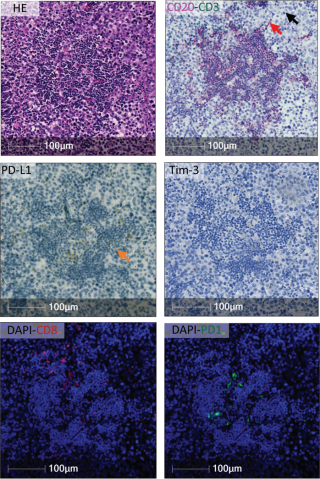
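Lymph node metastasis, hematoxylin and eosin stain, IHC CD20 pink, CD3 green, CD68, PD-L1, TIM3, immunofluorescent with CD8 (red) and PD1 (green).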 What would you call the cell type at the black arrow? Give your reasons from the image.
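These cells lie around the central cluster rather than inside it.
T cells.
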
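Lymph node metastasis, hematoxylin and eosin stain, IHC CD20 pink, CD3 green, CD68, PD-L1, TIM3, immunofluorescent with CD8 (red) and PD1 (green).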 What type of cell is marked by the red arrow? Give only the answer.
B cells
